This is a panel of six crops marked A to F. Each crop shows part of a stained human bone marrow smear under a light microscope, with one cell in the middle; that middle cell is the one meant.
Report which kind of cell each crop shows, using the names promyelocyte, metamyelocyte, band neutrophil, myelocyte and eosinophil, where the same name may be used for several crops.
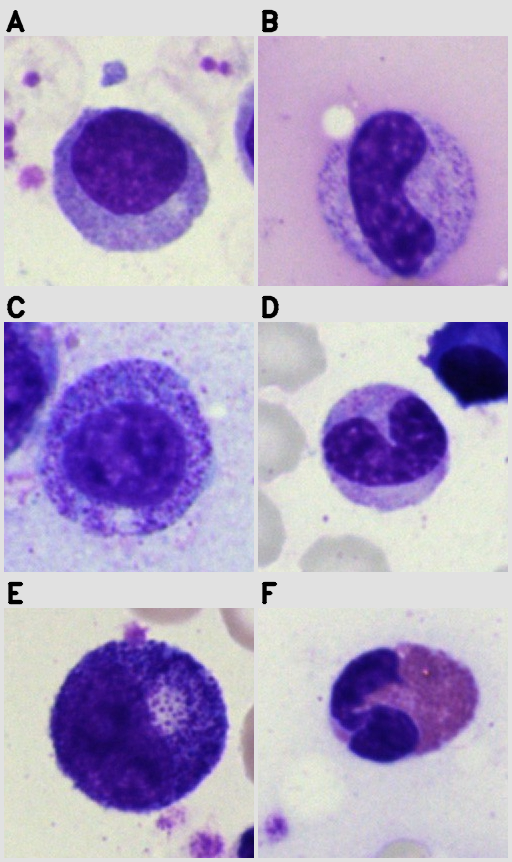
A: myelocyte
B: band neutrophil
C: promyelocyte
D: band neutrophil
E: promyelocyte
F: eosinophil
